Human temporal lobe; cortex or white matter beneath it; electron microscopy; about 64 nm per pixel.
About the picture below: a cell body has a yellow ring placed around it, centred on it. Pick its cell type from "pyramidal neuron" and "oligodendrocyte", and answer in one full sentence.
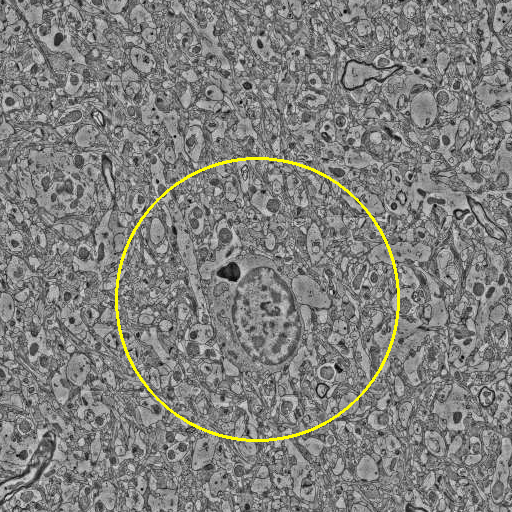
In the picture, an oligodendrocyte is the cell sitting at the centre of the yellow ring.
